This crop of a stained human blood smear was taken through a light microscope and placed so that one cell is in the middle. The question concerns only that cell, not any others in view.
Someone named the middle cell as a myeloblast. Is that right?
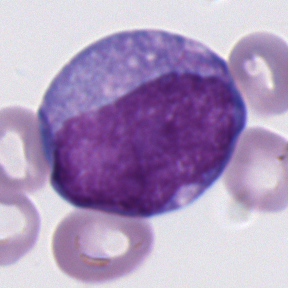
no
